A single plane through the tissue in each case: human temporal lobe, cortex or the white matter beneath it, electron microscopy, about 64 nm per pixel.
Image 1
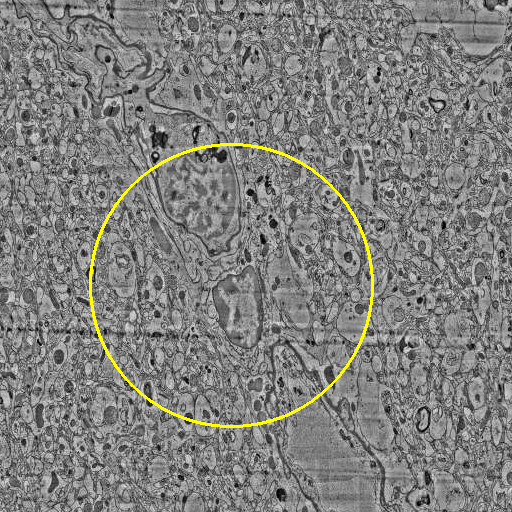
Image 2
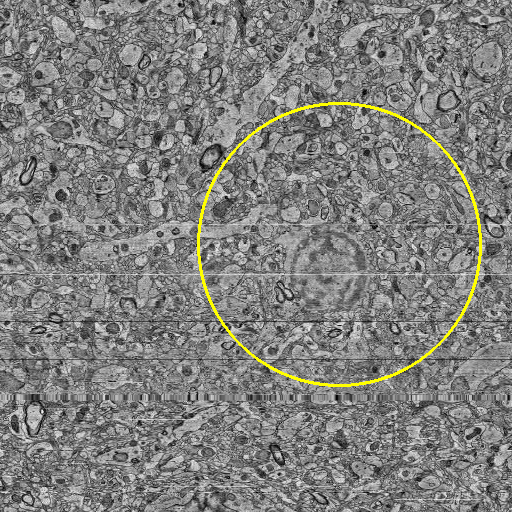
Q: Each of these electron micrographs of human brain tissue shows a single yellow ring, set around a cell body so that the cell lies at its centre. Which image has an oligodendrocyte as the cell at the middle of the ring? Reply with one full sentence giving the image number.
In image 2, the cell lying at the ring's centre is the requested one.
